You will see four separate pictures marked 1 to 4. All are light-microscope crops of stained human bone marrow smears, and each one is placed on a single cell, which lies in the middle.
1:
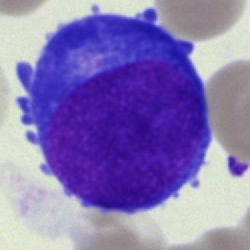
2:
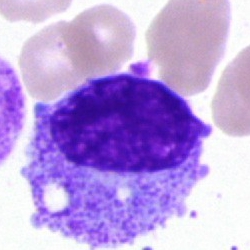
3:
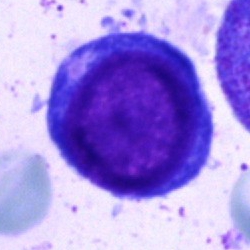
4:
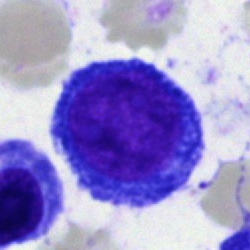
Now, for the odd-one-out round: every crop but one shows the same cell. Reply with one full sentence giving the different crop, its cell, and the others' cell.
Crop 2 is the only crop with a promyelocyte, the others all showing proerythroblasts.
